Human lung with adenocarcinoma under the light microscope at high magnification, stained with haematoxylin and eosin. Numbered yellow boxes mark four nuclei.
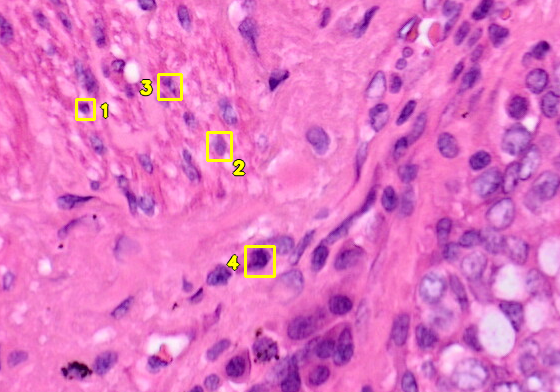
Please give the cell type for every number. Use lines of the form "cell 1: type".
cell 1: smooth muscle cell or pericyte
cell 2: smooth muscle cell or pericyte
cell 3: smooth muscle cell or pericyte
cell 4: plasma cell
